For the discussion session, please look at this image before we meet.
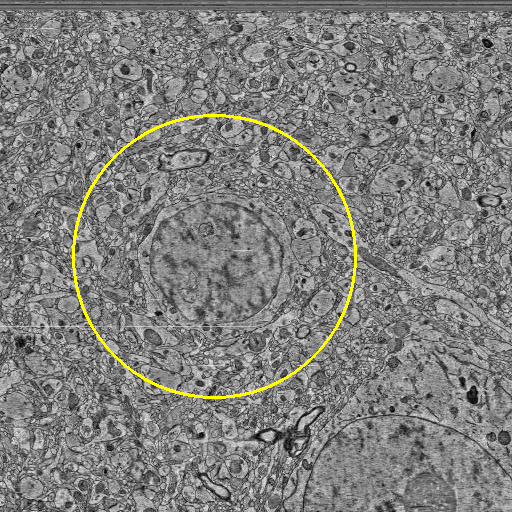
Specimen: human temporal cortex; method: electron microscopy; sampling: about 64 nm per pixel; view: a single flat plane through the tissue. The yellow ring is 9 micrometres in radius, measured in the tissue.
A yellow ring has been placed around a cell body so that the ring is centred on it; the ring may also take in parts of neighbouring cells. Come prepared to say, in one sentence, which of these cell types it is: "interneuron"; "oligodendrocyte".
The cell centred in the ring is an interneuron.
